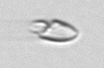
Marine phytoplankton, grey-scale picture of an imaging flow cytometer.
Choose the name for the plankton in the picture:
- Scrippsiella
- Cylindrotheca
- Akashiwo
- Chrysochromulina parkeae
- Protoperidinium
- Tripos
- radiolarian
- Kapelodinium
Kapelodinium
